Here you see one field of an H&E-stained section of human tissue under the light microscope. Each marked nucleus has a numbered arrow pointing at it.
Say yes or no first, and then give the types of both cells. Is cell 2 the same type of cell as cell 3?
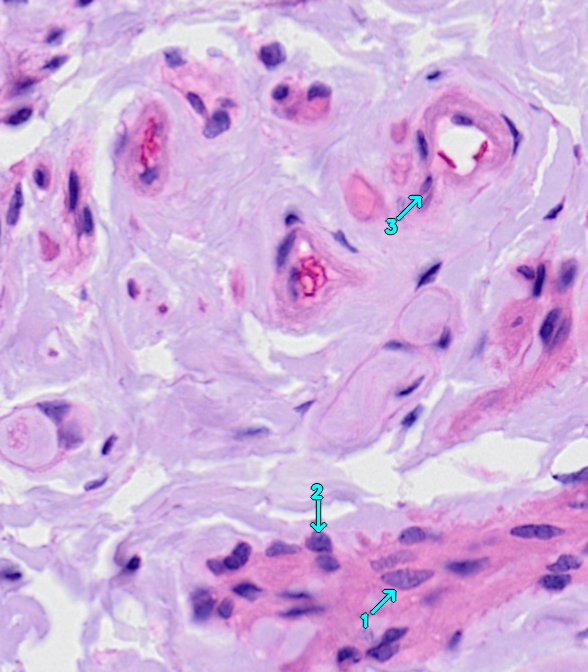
No, the correct reading has cell 2 as a smooth muscle cell and cell 3 as an endothelial cell.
